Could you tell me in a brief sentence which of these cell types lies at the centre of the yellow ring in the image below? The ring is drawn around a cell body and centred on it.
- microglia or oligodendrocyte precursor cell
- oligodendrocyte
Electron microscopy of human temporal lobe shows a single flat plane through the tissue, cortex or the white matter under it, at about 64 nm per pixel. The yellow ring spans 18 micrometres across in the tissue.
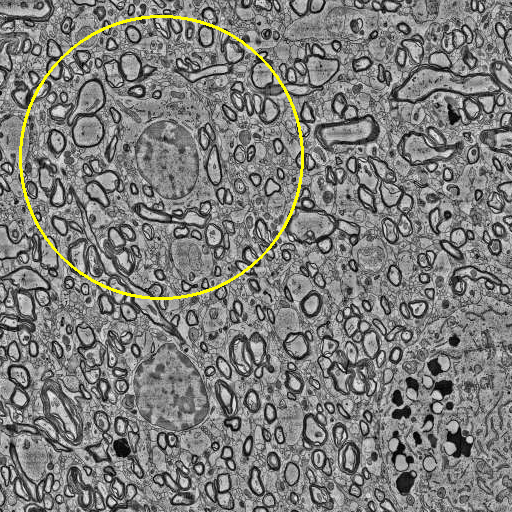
The cell centred in the ring is a microglial cell or oligodendrocyte precursor cell.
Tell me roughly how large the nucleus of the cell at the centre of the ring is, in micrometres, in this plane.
The nucleus measures about 5 by 4 micrometres in this plane.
